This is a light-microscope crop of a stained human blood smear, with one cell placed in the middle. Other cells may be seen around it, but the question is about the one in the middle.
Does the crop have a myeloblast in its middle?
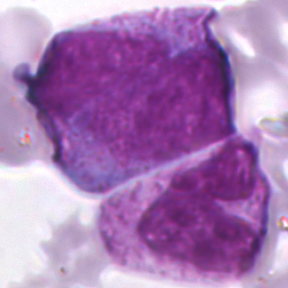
no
